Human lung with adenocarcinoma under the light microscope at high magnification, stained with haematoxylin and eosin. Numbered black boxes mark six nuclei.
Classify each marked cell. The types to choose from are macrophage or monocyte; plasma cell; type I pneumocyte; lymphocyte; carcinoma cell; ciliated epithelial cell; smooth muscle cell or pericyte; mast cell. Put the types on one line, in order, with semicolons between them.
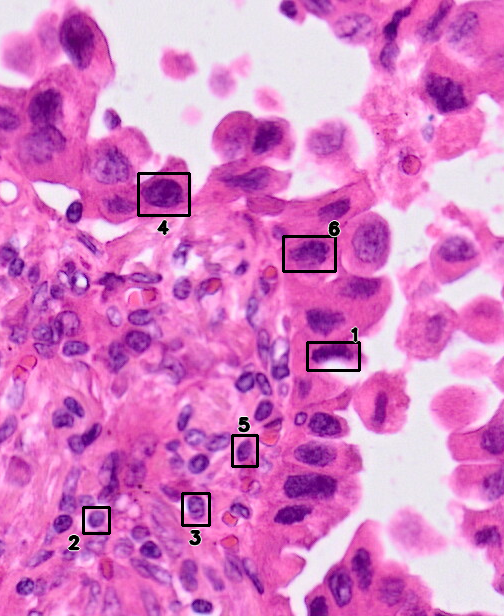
carcinoma cell; lymphocyte; lymphocyte; carcinoma cell; lymphocyte; carcinoma cell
